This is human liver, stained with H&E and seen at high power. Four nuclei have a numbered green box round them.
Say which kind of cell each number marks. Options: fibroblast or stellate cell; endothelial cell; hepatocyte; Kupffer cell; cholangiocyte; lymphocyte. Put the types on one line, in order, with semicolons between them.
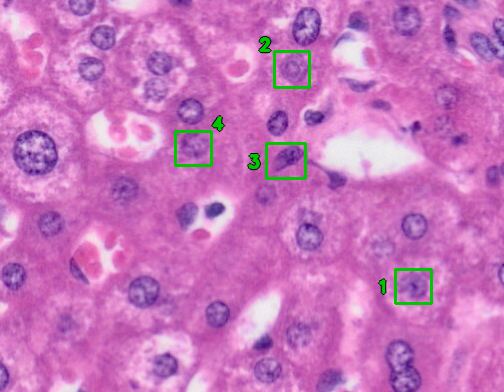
hepatocyte; hepatocyte; fibroblast or stellate cell; hepatocyte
